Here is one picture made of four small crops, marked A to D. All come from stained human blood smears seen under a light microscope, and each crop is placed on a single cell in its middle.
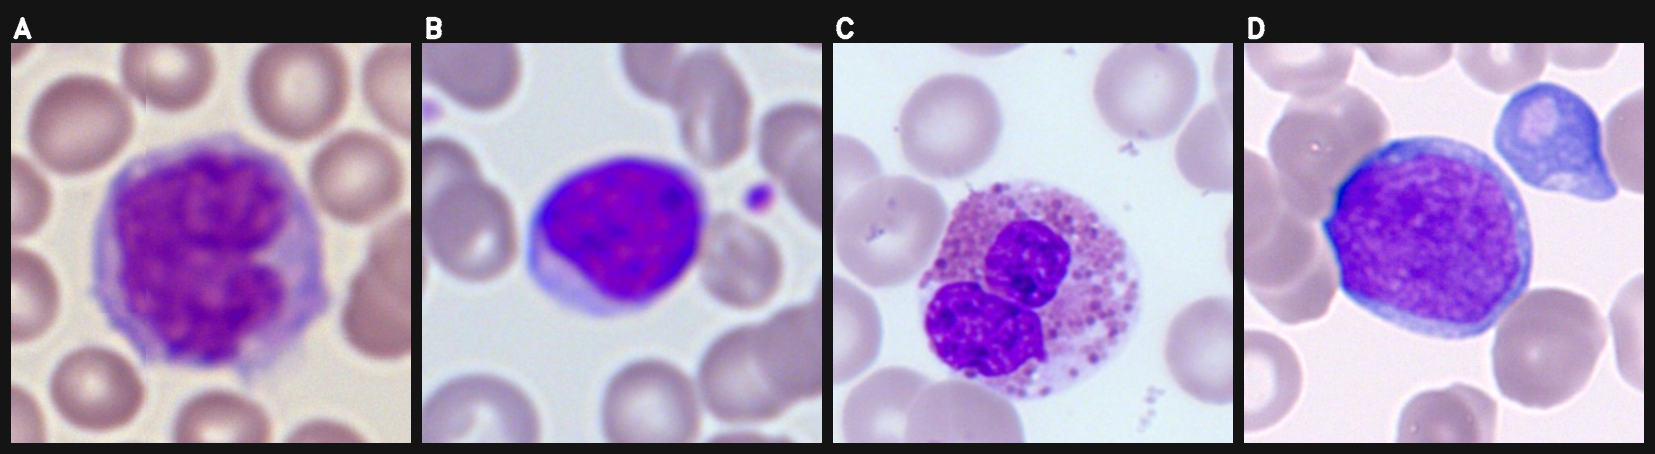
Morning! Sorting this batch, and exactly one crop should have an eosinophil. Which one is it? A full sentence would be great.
Among the crops provided, an eosinophil occupies the center of crop C.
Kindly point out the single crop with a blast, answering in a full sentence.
Within this set, crop D is the one with a blast at its center.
